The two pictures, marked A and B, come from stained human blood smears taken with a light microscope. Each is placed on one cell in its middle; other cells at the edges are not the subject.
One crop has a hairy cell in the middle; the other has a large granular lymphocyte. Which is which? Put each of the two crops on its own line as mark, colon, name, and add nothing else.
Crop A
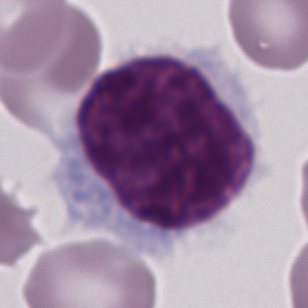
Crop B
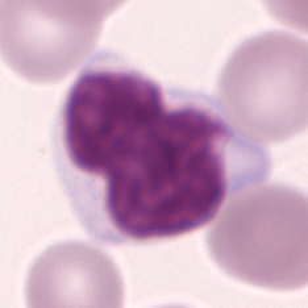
A: hairy cell
B: large granular lymphocyte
